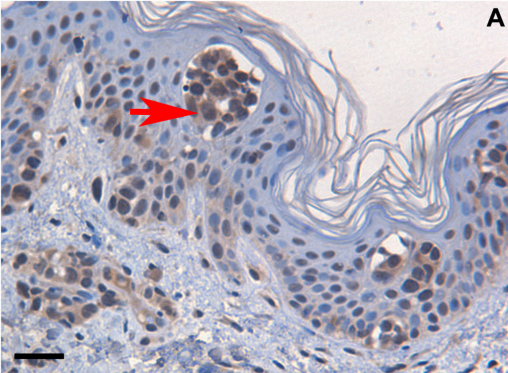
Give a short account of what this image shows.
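This is epidermis with a cluster of atypical lymphocytes forming a Pautrier’s microabscess in the upper layers, set in a small clear pocket among keratinocytes. The lymphocytes in the cluster, and many cells near the base of the epidermis, carry brown-stained nuclei, while the upper keratinocytes have blue nuclei and a layered keratin sheet lies on top.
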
